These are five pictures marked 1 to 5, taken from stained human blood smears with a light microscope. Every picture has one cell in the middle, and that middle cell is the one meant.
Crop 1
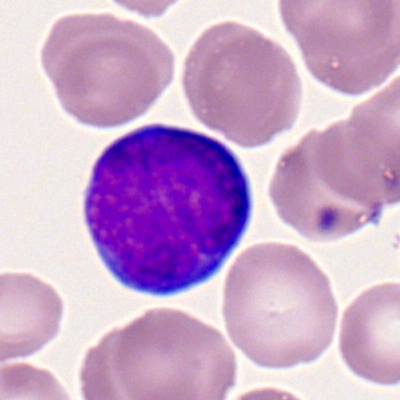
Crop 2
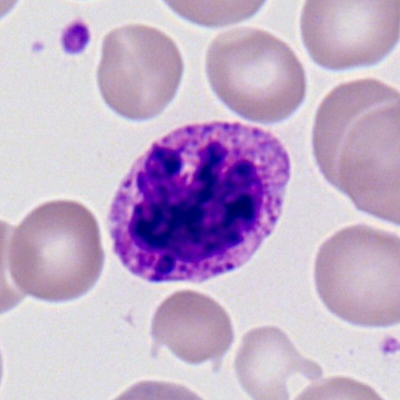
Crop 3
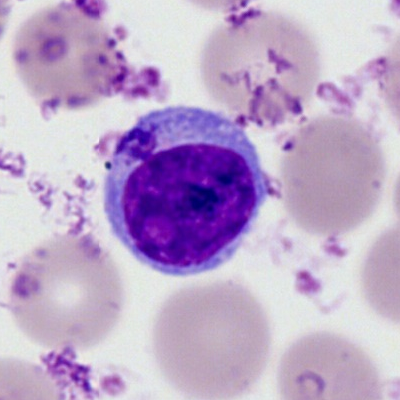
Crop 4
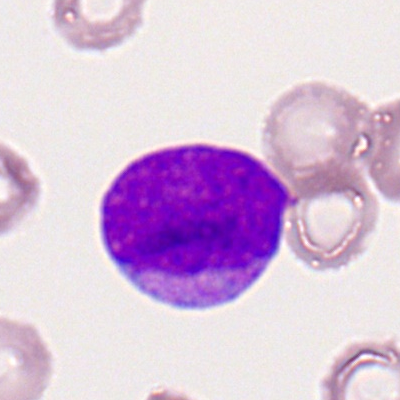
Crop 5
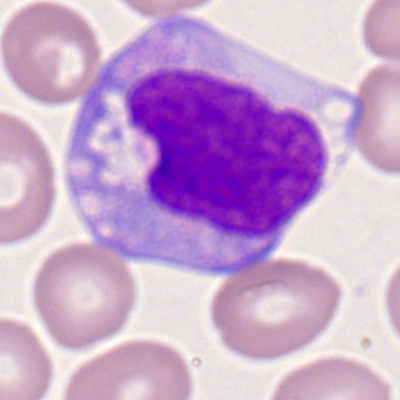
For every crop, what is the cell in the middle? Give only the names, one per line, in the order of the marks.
blast
basophil
lymphocyte
blast
monocyte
